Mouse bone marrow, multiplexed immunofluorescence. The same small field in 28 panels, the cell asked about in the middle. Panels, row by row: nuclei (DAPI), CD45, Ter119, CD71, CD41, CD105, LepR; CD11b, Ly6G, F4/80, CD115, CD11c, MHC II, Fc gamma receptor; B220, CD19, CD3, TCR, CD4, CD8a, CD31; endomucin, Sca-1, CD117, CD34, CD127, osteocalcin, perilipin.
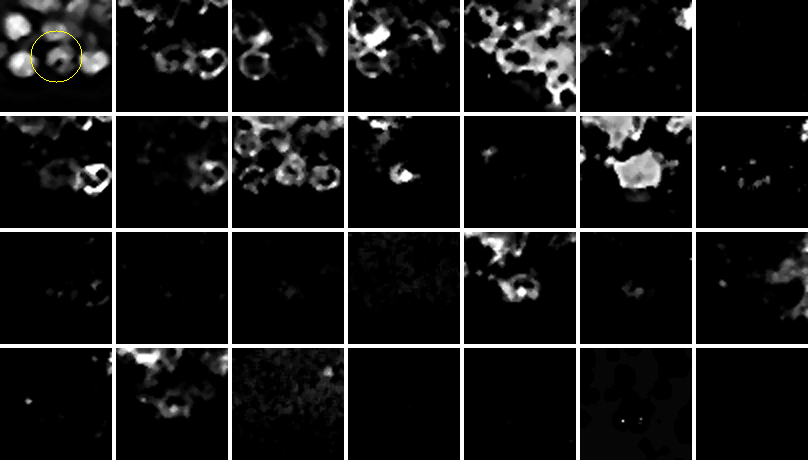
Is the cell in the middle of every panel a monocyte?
Yes, it is a monocyte.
